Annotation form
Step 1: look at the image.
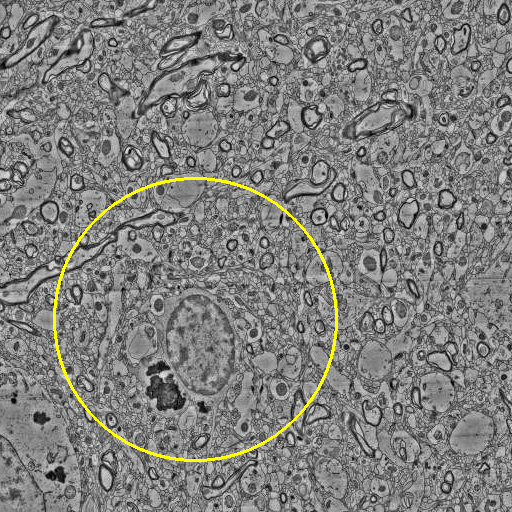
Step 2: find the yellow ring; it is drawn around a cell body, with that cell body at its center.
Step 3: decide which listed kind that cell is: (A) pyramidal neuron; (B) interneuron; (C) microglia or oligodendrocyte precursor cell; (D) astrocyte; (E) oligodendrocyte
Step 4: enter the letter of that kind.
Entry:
E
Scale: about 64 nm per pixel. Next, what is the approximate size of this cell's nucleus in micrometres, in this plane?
Roughly 6 by 4 micrometres in this plane, for the nucleus of the ringed cell.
